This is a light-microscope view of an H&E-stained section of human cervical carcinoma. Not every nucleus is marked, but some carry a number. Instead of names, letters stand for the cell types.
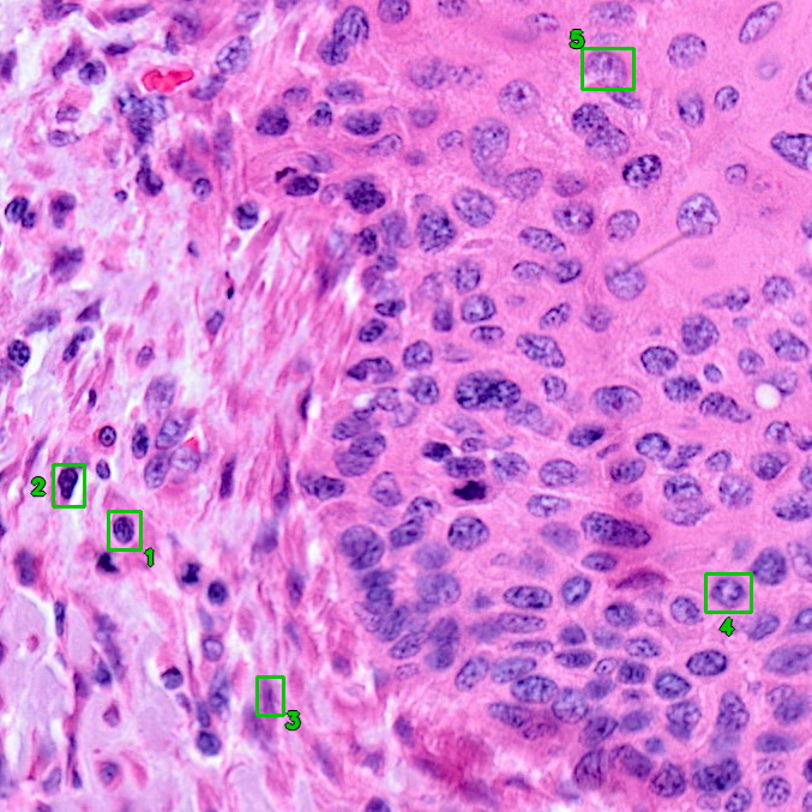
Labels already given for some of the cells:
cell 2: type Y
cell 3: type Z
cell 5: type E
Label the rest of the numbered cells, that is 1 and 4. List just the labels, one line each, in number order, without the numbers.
type Y
type E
